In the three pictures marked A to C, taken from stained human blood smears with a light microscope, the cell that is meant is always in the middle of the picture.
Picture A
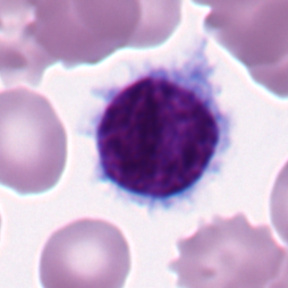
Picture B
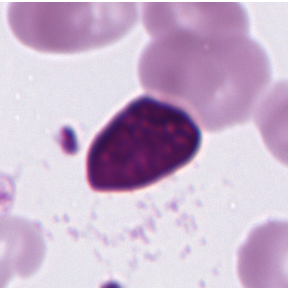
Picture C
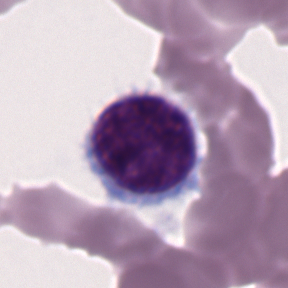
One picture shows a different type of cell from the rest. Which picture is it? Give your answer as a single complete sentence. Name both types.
Picture B differs, because its cell is a smudge cell and the rest are hairy cells.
